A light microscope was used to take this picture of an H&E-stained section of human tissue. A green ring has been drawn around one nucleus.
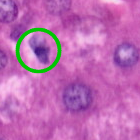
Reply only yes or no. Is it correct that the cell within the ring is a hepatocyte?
no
